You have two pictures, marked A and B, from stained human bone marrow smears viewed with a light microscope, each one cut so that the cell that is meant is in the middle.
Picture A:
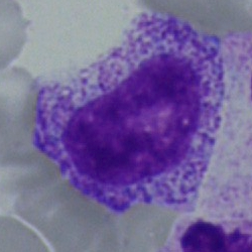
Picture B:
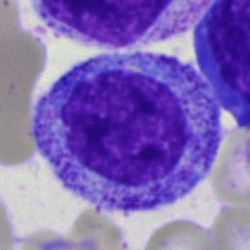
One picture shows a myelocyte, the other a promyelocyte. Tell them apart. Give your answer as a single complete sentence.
The cell in picture A is a myelocyte, and the one in picture B is a promyelocyte.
